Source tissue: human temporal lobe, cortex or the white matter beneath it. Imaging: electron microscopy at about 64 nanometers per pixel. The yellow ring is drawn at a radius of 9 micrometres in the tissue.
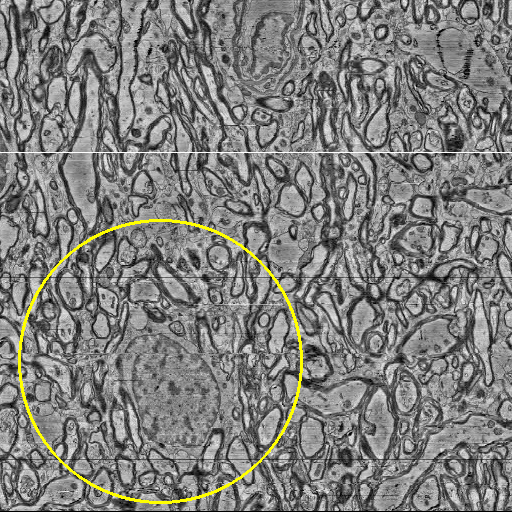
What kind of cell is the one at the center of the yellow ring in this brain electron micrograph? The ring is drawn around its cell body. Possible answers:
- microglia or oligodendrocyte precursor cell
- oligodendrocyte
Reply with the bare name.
oligodendrocyte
